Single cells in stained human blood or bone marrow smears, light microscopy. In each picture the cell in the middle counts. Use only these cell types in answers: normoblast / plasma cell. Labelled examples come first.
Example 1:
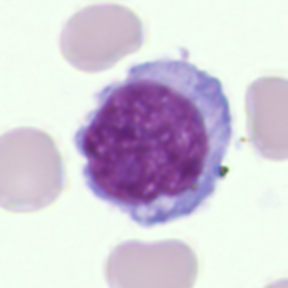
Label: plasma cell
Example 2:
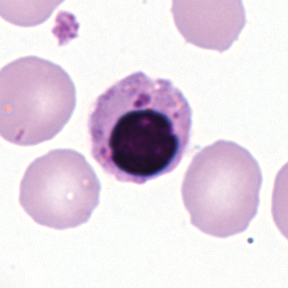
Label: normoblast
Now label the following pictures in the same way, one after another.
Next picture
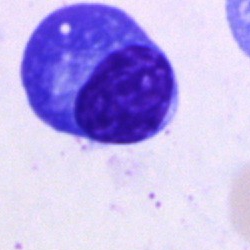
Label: plasma cell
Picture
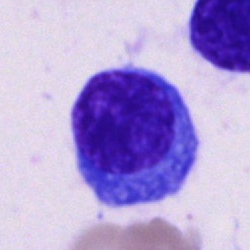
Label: plasma cell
